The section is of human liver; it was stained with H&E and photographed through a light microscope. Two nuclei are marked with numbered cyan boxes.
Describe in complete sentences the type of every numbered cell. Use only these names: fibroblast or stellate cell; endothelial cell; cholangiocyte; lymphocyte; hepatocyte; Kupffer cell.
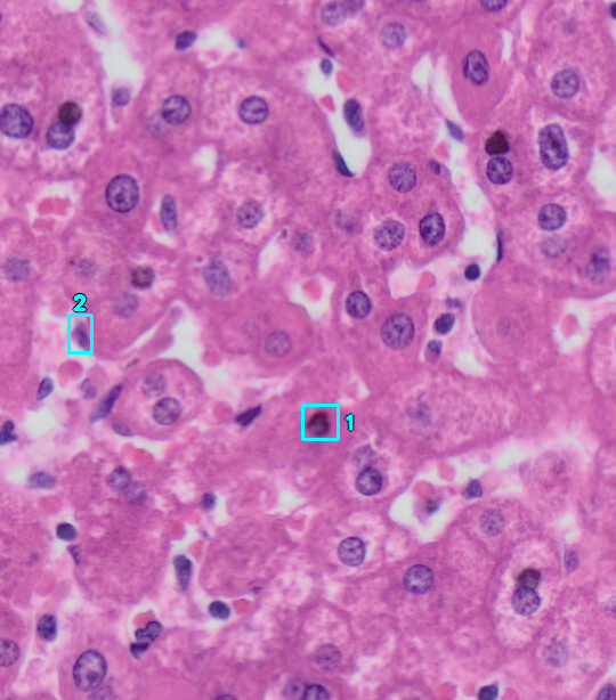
Cell 1 is a hepatocyte and cell 2 is a Kupffer cell.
